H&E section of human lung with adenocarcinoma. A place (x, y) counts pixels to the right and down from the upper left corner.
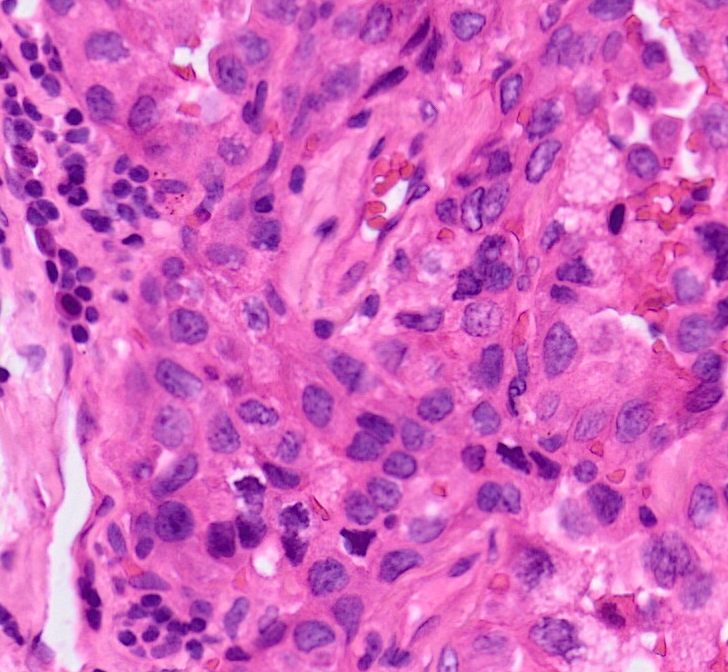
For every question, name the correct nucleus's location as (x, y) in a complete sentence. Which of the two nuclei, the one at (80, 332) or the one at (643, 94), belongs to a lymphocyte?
Housed in a lymphocyte is the nucleus at (80, 332), not the other one.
